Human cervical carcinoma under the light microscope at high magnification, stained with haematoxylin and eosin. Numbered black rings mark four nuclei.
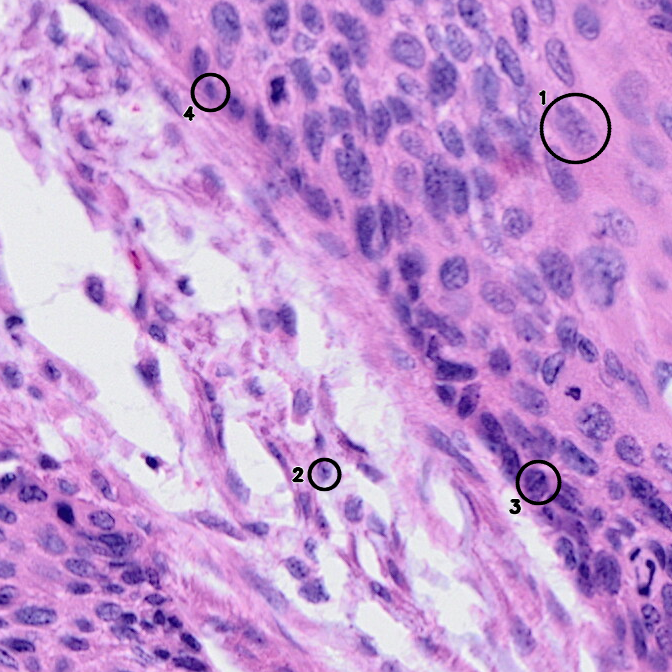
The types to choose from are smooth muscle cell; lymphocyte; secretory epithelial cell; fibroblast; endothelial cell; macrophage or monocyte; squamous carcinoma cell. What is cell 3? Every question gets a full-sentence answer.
In the marked set, the cell given number 3 is a squamous carcinoma cell.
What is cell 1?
The correct answer for cell 1 is a squamous carcinoma cell.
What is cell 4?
The cell indicated by marker 4 is a squamous carcinoma cell in this section.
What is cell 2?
Looking at the numbered marks, cell 2 is a fibroblast.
